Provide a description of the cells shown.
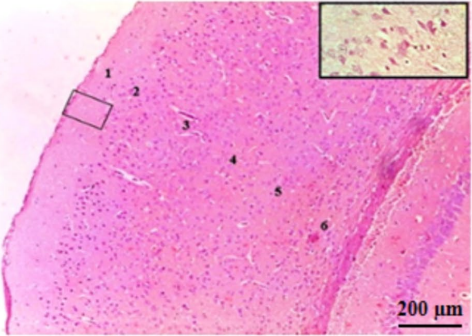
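This is a section of cerebral cortex in pink with purple nuclei, showing its layered architecture from the surface inward. The outermost molecular layer is pale with only a few scattered cells, and the deeper layers contain evenly spread neurons among small blood vessels. The deepest layer borders a band of more compact, differently stained tissue.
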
